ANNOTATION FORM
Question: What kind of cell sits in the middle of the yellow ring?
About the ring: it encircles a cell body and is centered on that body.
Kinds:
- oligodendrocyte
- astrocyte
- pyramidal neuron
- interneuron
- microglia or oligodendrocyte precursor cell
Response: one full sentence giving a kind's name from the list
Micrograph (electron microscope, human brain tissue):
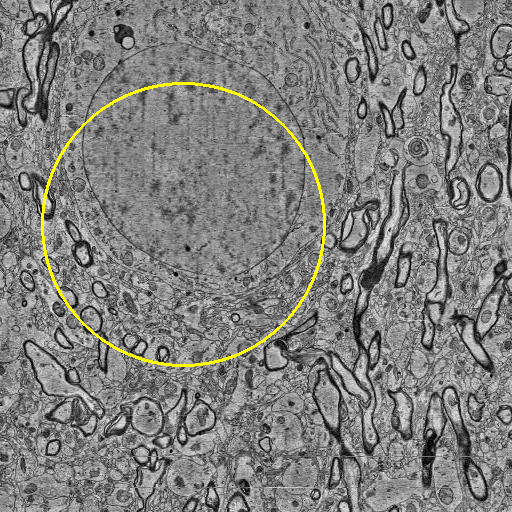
The kind of cell found at the center of the yellow ring in the micrograph is a pyramidal neuron.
